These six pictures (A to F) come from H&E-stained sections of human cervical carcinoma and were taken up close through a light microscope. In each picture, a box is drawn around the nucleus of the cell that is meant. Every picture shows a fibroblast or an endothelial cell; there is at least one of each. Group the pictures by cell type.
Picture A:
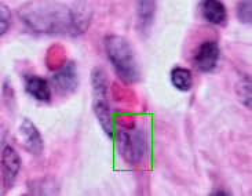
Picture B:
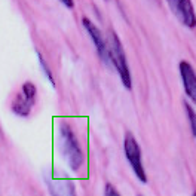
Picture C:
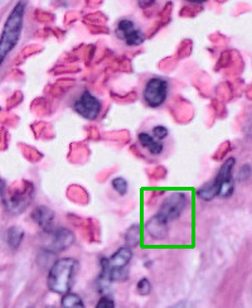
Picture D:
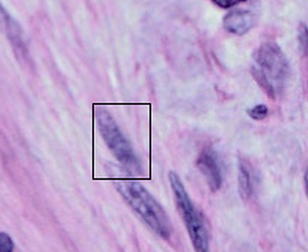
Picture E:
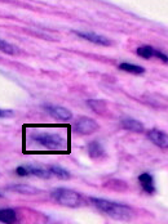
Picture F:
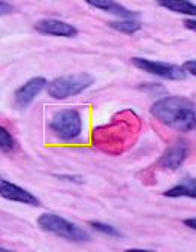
A: endothelial cell
B: endothelial cell
C: endothelial cell
D: fibroblast
E: fibroblast
F: endothelial cell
